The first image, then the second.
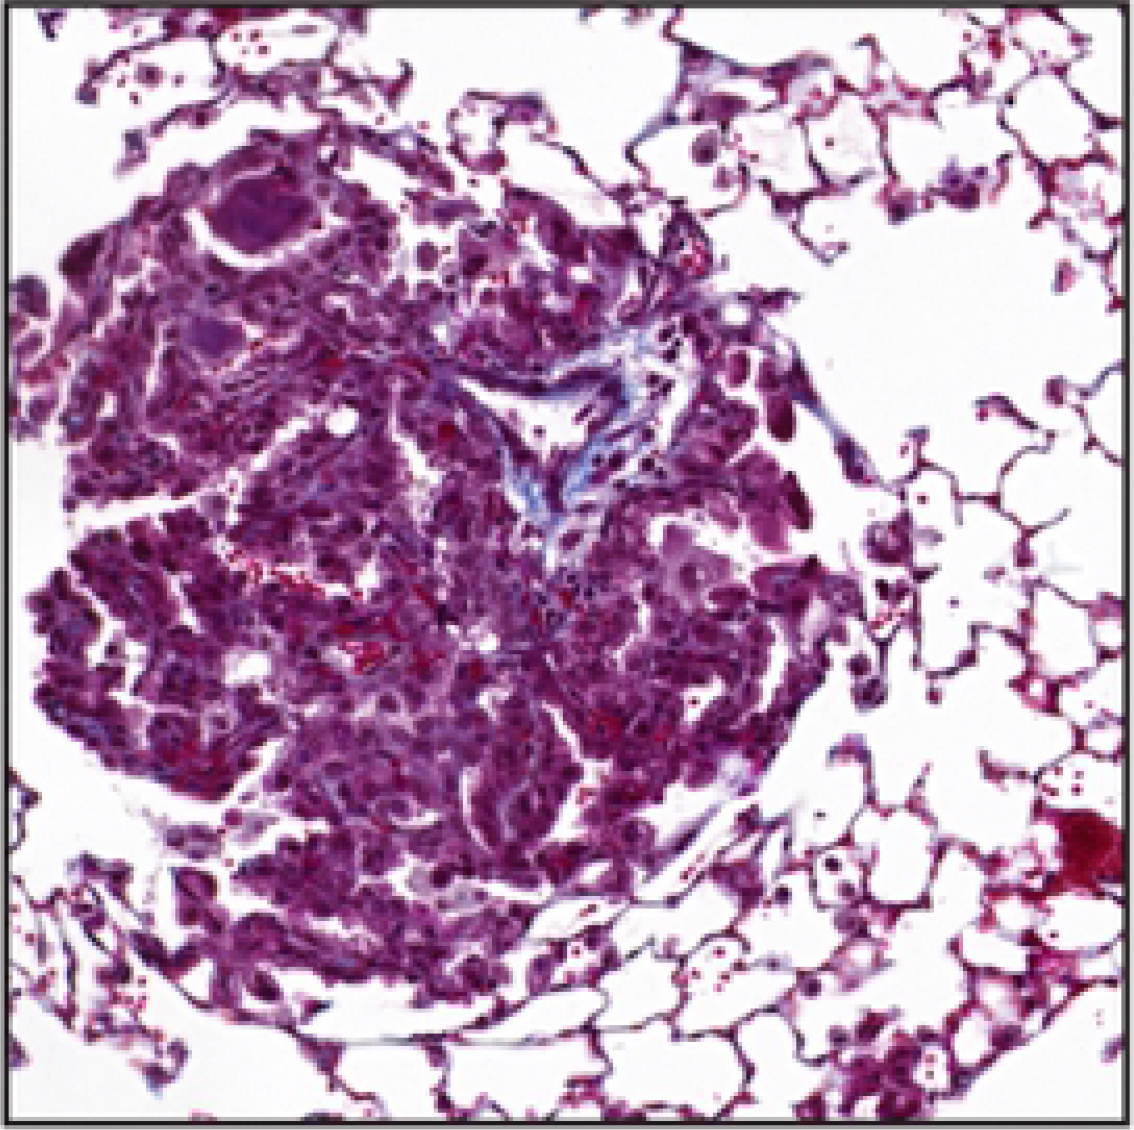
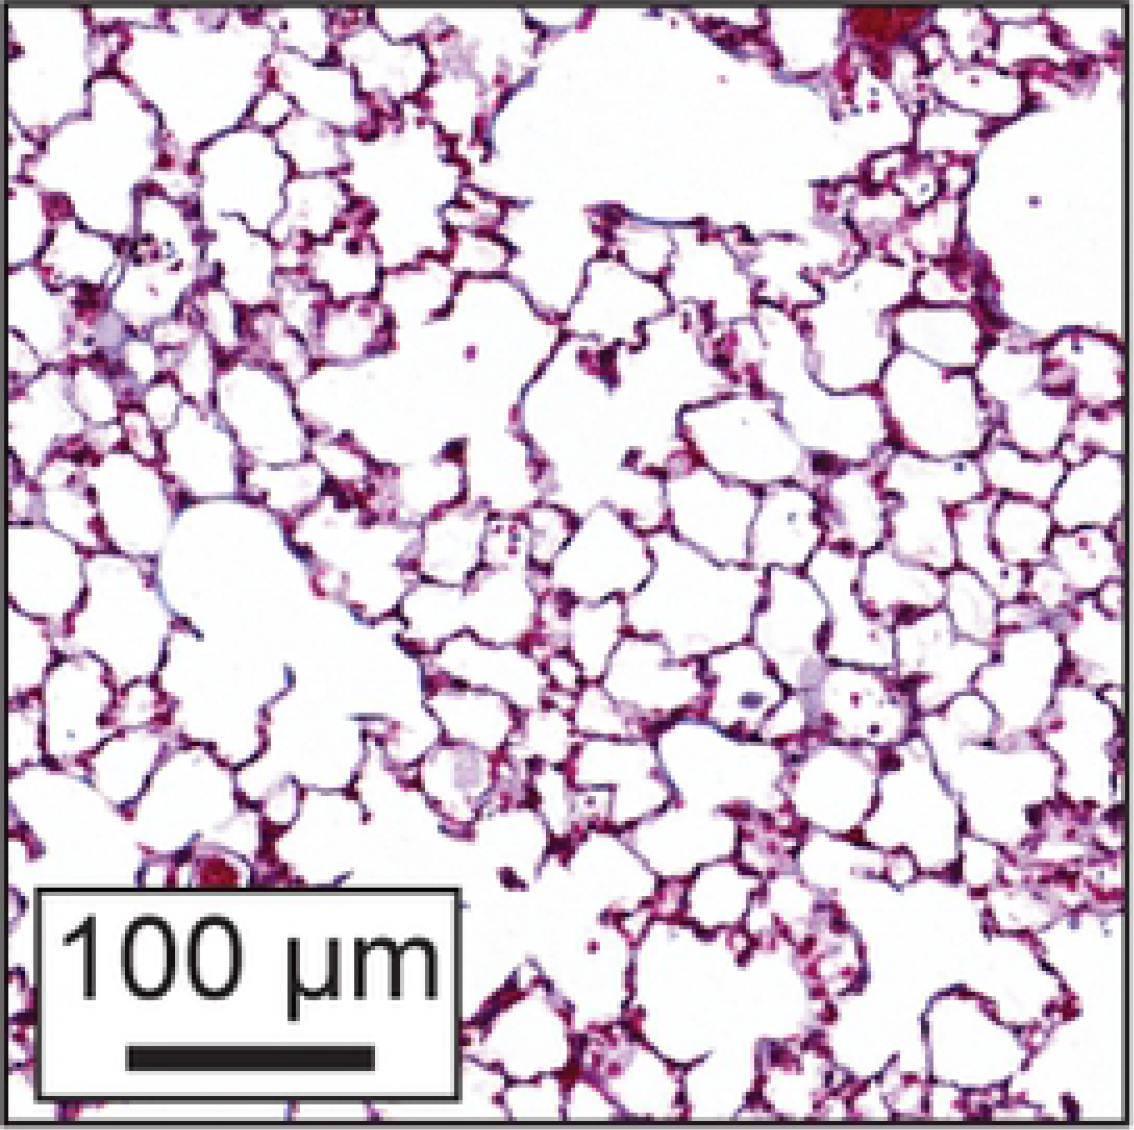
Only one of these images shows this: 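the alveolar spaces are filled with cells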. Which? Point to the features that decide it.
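First image: a compact mass of purple cells fills the center where no air spaces remain. Second image: open empty air spaces bounded by thin septa throughout.
Conclusion: the first image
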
